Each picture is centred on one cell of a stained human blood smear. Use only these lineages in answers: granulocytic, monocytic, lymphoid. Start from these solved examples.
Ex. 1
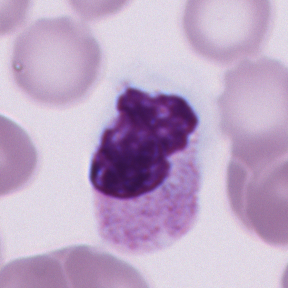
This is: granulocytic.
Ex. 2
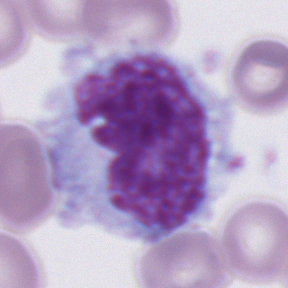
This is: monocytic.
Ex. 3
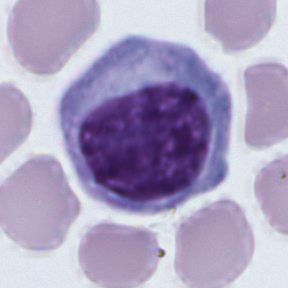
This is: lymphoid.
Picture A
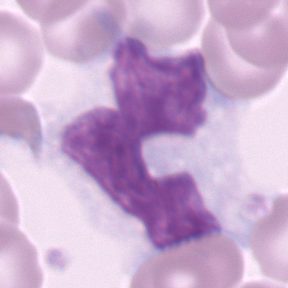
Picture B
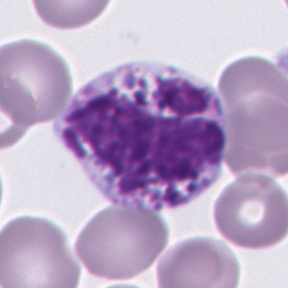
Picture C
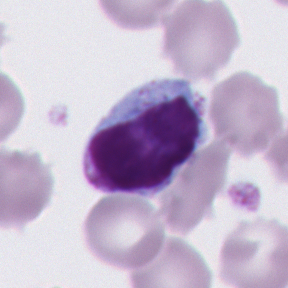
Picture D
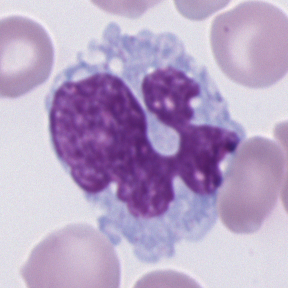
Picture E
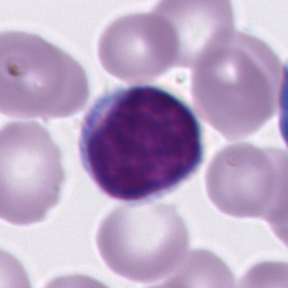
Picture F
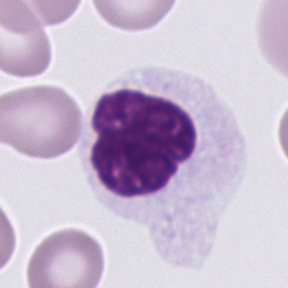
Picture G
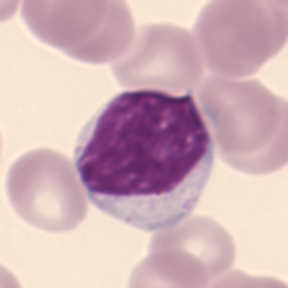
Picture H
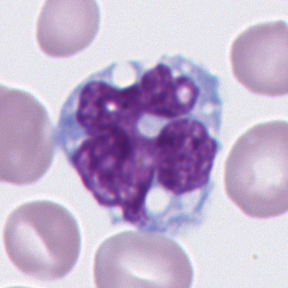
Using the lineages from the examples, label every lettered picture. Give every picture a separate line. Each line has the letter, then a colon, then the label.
A: monocytic.
B: granulocytic.
C: lymphoid.
D: monocytic.
E: lymphoid.
F: granulocytic.
G: lymphoid.
H: monocytic.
